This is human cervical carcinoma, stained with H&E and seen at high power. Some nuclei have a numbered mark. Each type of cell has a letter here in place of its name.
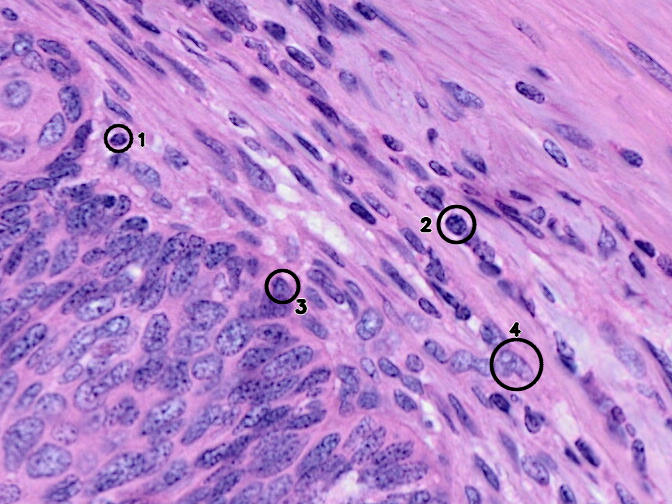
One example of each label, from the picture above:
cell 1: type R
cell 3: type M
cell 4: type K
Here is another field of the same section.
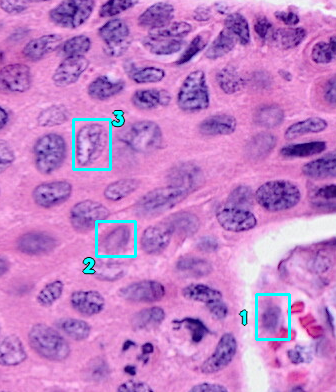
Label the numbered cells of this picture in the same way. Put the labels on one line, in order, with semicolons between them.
type K; type M; type M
